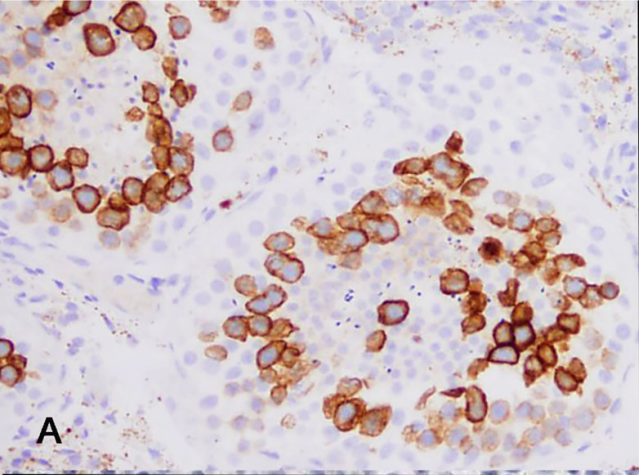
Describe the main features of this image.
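This is testis, with seminiferous tubules cut across and the germ cells inside them. The most striking cells are the spermatocytes: large, rounded cells with big round nuclei, whose cytoplasm and outline are stained a strong brown. They lie in a ring within each tubule, inside the outermost layer. Cells nearest the tubule wall are small and at most faintly stained, and the smaller cells toward the centre of the tubules are pale blue and unstained. Between the tubules lies loose interstitial tissue with scattered spindle-shaped nuclei.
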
